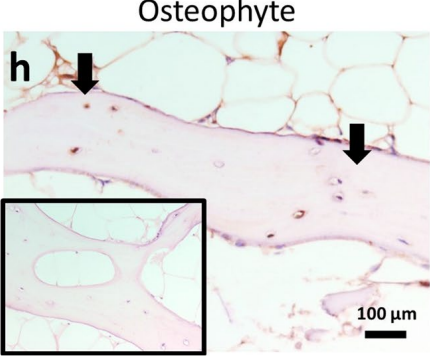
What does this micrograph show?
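A band of pale pink bone runs across the image, bordered above by large, empty, rounded fat cells. Only a few osteocytes inside the bone carry a brown stain, and most of it is faint, while the bone surface is lined by small cells with bluish nuclei.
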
